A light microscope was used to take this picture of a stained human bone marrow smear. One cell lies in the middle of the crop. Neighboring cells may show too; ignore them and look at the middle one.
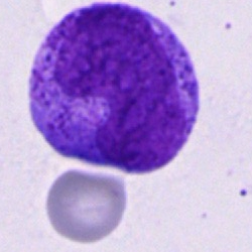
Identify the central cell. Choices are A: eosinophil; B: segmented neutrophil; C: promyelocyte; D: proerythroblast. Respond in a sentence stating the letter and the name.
According to option C, which is correct, the cell in the middle is a promyelocyte.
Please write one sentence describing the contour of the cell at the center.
The outline traces a smooth curve with no projections along it.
